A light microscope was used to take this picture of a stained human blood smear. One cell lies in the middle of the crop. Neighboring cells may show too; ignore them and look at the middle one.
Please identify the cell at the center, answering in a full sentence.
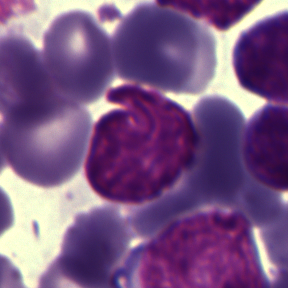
The cell centered in this field of view is a blast.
